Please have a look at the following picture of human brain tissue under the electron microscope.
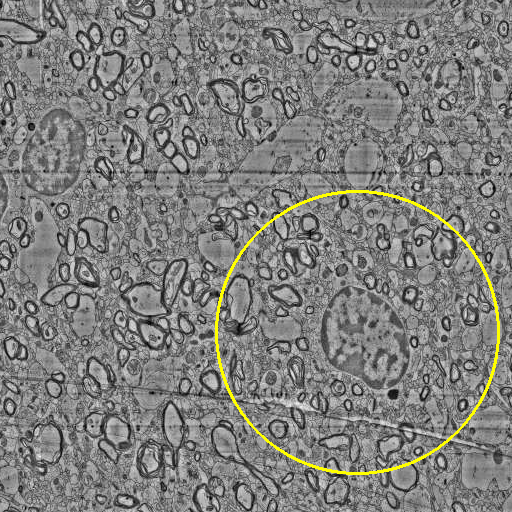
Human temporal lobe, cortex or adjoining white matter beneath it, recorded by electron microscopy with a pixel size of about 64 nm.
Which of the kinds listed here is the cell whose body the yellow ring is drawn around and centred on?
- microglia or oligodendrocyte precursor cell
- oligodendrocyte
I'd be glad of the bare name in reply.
microglia or oligodendrocyte precursor cell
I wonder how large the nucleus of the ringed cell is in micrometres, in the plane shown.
The ringed cell's nucleus is about 7 micrometres long and 5 micrometres wide in this plane.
